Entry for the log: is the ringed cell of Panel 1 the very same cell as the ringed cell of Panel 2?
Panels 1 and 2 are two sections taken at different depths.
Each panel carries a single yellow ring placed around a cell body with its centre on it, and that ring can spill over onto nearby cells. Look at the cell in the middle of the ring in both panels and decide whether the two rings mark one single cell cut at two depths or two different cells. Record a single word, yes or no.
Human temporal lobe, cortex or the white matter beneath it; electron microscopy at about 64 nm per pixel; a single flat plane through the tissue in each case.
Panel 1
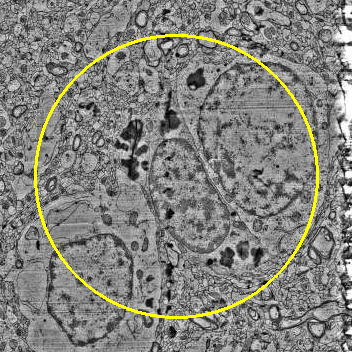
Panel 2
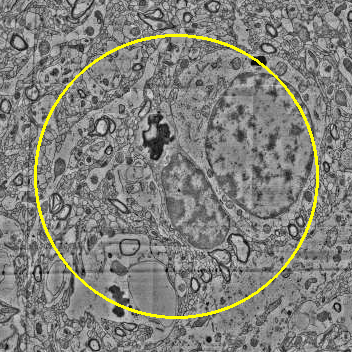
yes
